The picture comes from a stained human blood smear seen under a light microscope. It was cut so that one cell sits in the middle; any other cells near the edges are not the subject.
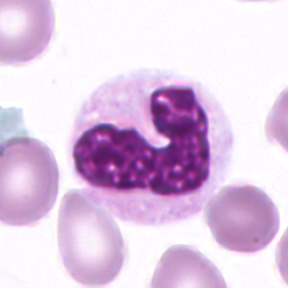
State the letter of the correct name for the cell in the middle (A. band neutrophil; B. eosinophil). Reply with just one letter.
A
